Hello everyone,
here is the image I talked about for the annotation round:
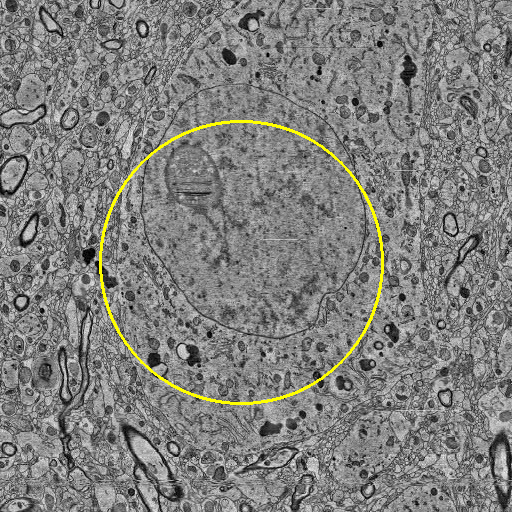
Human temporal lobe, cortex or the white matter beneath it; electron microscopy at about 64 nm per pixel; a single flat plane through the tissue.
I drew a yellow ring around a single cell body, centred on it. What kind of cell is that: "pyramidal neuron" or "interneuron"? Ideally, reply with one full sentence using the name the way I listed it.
The cell your yellow ring is centred on is a pyramidal neuron, going by your list.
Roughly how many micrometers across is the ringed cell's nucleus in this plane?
About 17 by 14 micrometres in this plane.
